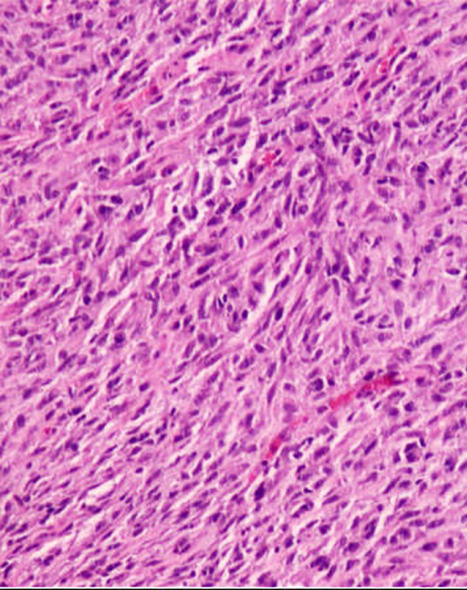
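At lower magnification, this tumor is a highly cellular sheet of spindle-shaped cells forming sweeping, interlacing fascicles. Small thin-walled vessels with red blood cells run between the bundles. The elongated purple nuclei lie in pink cytoplasm.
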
